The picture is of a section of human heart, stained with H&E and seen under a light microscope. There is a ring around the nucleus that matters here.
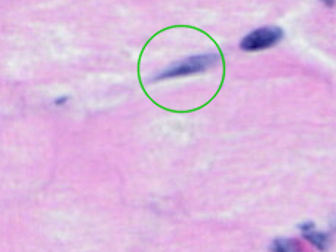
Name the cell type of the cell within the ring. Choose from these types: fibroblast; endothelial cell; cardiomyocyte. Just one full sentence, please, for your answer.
It is as an endothelial cell that the cell within the ring is recorded.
